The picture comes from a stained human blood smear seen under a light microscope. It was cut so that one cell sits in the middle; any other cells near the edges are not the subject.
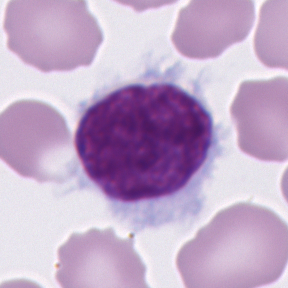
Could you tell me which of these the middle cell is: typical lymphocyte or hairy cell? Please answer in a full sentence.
The cell at the heart of this crop is a hairy cell.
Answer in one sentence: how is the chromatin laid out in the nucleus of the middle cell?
What stands out is fine chromatin lacking any coarse clumps.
